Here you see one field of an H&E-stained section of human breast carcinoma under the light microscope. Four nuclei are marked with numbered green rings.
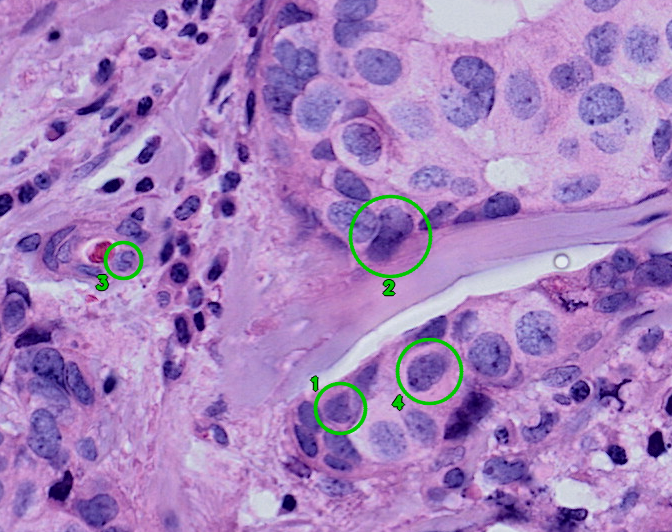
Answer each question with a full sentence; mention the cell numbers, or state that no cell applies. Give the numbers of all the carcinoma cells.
In short, the numbered cells 1, 2 and 4 are carcinoma cells.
